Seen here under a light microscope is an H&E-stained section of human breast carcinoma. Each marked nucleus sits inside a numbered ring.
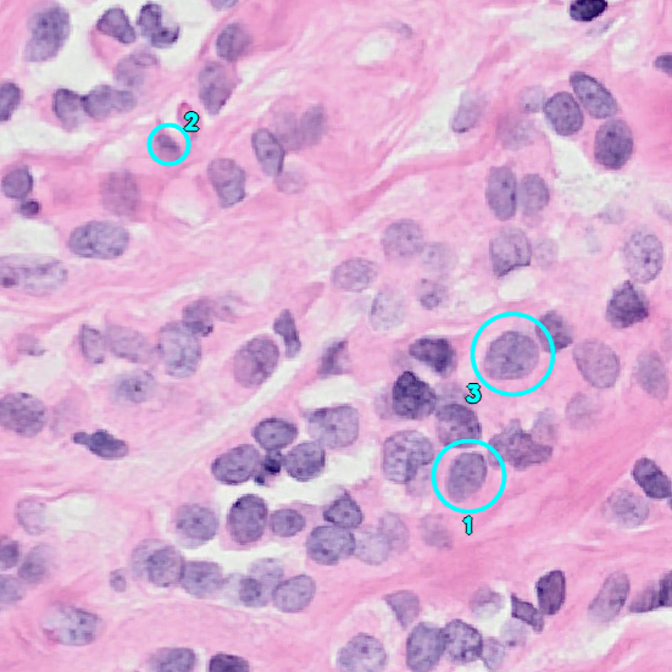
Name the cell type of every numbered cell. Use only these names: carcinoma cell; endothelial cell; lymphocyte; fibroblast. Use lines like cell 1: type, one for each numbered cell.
cell 1: carcinoma cell
cell 2: endothelial cell
cell 3: carcinoma cell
